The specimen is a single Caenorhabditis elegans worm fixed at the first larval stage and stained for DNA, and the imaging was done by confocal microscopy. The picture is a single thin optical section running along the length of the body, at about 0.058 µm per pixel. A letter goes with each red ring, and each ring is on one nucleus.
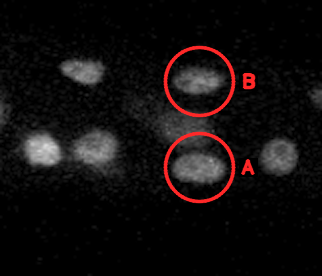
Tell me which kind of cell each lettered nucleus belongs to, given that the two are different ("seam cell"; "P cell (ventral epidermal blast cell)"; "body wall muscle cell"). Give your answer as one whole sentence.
Nucleus A comes from a P cell (ventral epidermal blast cell) and nucleus B from a body wall muscle cell.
